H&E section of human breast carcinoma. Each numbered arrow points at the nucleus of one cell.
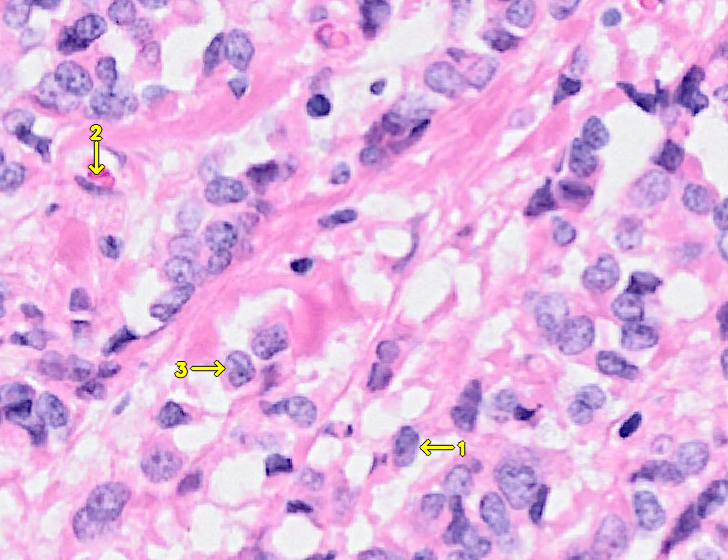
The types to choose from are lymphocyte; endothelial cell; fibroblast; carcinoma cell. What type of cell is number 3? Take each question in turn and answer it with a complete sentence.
The cell that is numbered 3 is a carcinoma cell.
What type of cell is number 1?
Cell 1 should be recorded as a carcinoma cell.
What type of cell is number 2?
The cell bearing label 2 corresponds to an endothelial cell.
